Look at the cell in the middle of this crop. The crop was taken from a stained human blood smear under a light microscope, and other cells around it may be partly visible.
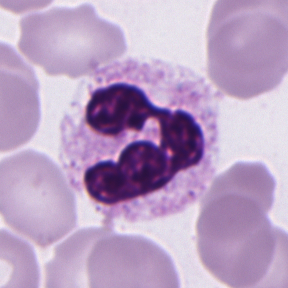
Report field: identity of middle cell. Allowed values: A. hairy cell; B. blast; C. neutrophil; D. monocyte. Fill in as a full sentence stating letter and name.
At the centre of the crop lies a neutrophil, which makes option C correct.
